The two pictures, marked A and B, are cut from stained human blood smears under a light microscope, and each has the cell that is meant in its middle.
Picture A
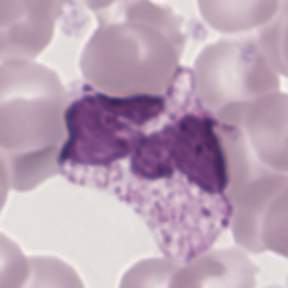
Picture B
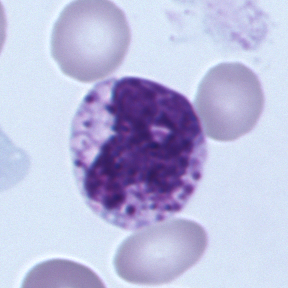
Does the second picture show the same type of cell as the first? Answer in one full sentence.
Yes, both are basophils.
